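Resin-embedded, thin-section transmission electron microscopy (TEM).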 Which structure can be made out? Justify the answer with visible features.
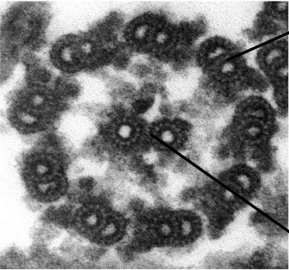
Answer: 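A ring of nine paired microtubule profiles. Two single ring profiles in the centre of the ring.
Hence: 9 + 2 architecture.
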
